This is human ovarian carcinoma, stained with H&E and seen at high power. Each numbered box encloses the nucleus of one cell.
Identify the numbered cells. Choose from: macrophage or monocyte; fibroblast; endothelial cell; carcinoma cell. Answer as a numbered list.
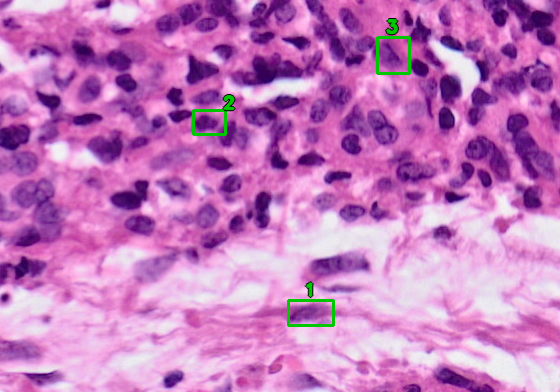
1. fibroblast
2. carcinoma cell
3. carcinoma cell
